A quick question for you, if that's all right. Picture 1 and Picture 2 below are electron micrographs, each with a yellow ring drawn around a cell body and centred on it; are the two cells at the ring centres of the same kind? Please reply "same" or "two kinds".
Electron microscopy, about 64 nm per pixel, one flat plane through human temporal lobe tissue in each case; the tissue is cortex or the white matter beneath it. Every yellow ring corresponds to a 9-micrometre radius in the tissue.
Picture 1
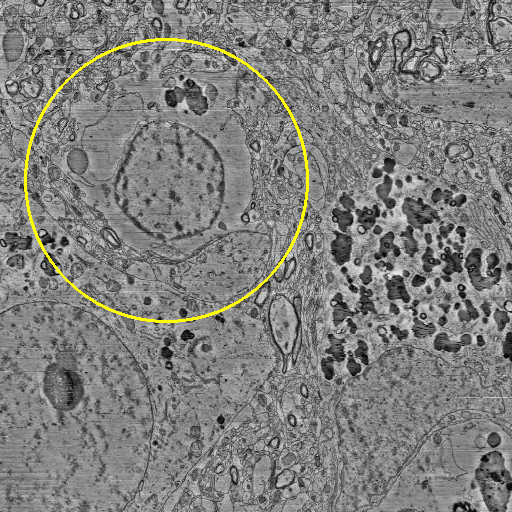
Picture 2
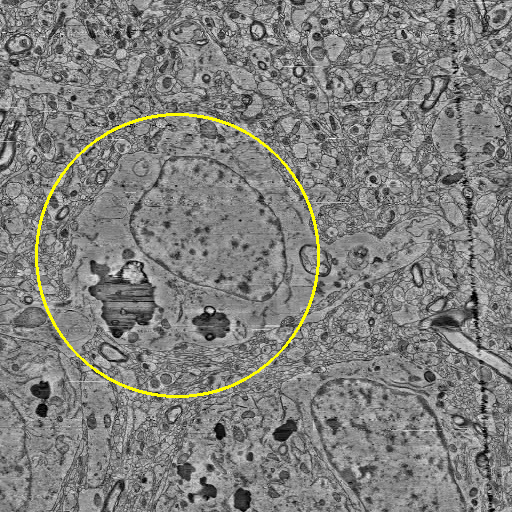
same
